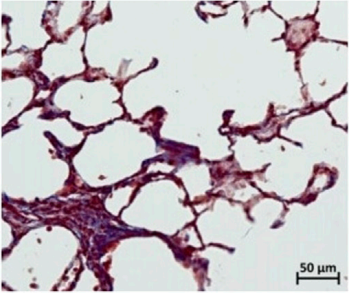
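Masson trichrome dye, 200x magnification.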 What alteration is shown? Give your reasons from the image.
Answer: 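Single fibrous formations. A small dense patch with bluish fibres lies at the lower left among thin alveolar walls. Most of the field remains open air spaces.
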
